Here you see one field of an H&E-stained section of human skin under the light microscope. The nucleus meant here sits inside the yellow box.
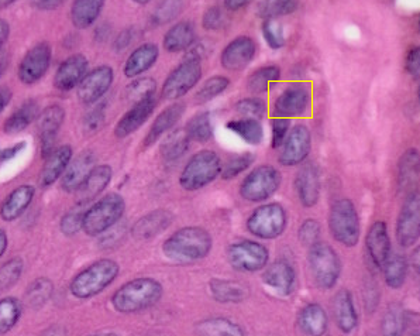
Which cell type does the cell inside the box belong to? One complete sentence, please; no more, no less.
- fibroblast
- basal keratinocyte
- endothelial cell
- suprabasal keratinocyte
In this section of tissue, the cell inside the box is a basal keratinocyte.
